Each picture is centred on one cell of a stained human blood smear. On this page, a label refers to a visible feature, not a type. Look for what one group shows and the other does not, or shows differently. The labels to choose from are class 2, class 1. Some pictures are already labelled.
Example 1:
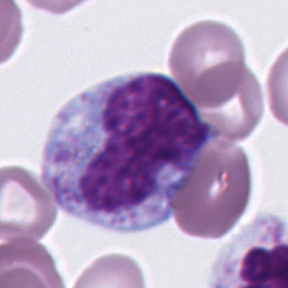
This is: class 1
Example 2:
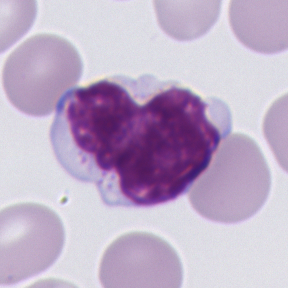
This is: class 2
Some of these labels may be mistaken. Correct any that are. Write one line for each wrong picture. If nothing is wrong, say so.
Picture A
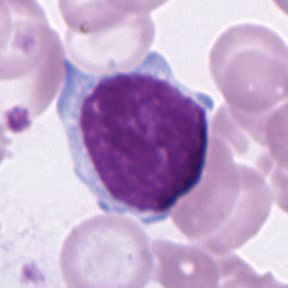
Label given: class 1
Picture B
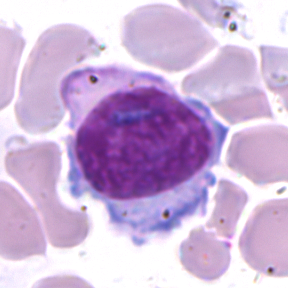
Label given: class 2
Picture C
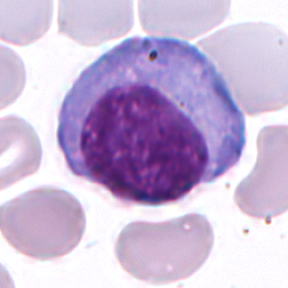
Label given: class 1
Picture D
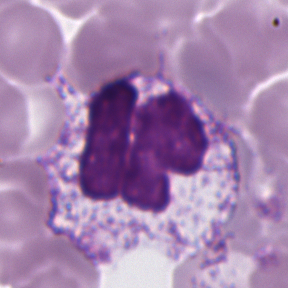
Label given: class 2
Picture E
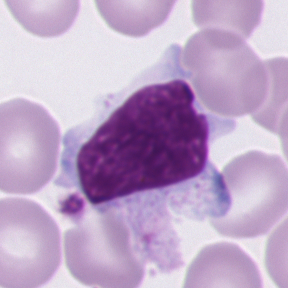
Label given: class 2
A is labelled class 1; correct label: class 2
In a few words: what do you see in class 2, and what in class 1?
In class 2: ragged outline or projections. In class 1: smooth outline.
